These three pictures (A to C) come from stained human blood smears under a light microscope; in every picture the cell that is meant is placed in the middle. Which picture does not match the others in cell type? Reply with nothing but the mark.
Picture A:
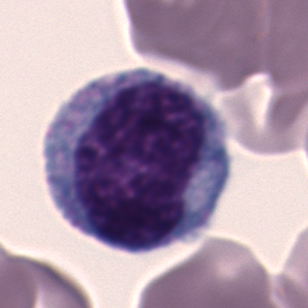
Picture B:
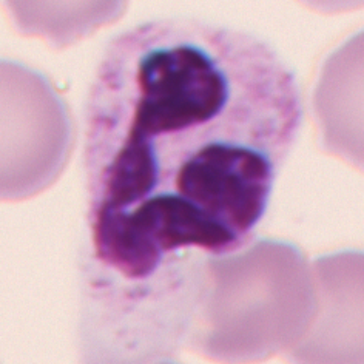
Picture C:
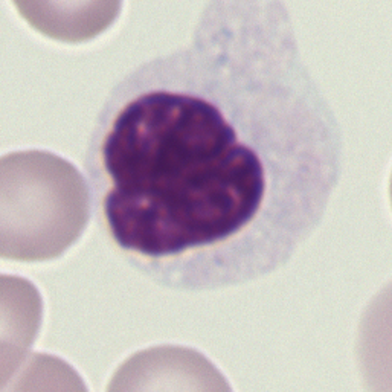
A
